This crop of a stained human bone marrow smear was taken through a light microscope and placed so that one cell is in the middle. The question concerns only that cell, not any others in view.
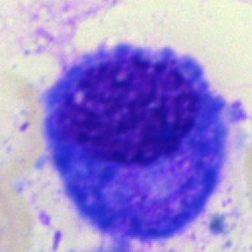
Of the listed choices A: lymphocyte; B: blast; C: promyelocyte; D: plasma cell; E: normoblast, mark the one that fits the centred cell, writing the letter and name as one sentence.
The cell at the heart of the crop is a promyelocyte, so choose option C.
